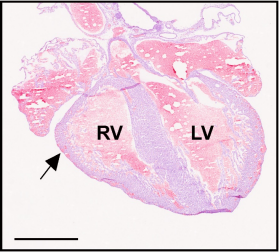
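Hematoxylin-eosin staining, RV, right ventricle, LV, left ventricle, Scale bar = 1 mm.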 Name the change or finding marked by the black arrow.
Ventricular hypoplasia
